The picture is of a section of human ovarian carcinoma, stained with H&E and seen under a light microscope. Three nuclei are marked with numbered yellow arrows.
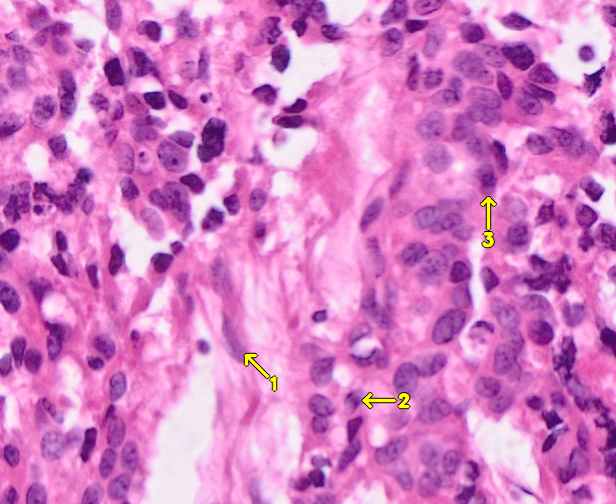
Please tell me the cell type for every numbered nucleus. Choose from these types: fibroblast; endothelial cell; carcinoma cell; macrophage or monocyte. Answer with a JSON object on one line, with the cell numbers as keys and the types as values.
{"1": "fibroblast", "2": "macrophage or monocyte", "3": "carcinoma cell"}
